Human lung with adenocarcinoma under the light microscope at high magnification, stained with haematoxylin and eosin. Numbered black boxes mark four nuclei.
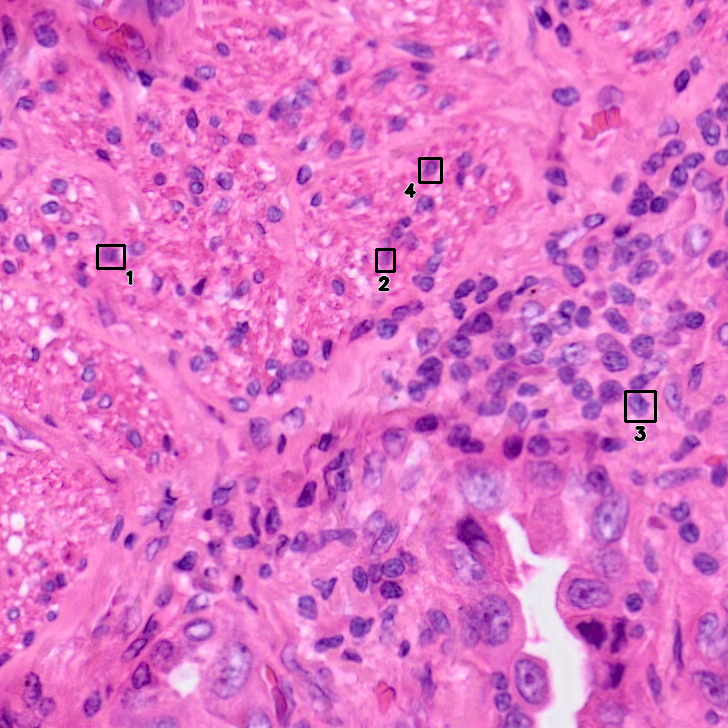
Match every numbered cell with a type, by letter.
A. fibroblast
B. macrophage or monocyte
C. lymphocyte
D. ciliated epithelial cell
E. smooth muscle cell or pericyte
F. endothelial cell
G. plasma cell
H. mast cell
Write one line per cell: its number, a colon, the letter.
1: E
2: E
3: C
4: E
